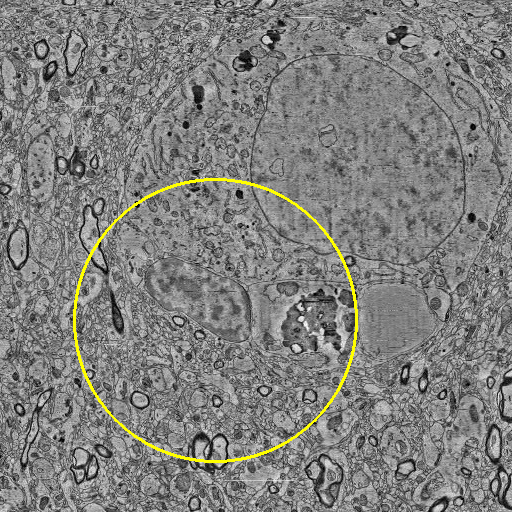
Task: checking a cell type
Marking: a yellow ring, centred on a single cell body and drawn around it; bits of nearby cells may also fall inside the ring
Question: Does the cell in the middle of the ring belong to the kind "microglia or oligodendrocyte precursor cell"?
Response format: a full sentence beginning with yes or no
Yes, the cell marked at the ring's centre in the picture is of that kind.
